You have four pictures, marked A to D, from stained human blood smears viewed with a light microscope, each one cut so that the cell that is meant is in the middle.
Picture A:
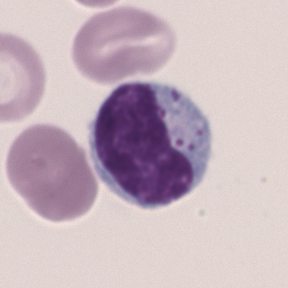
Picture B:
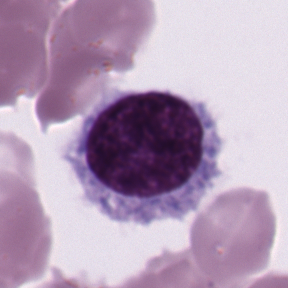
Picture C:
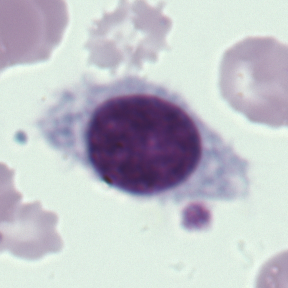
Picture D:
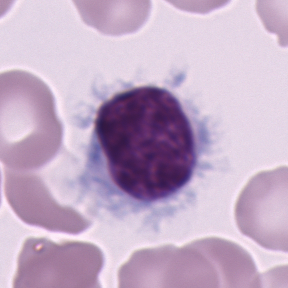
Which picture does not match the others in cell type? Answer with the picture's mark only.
A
